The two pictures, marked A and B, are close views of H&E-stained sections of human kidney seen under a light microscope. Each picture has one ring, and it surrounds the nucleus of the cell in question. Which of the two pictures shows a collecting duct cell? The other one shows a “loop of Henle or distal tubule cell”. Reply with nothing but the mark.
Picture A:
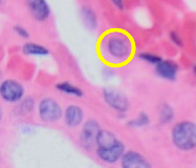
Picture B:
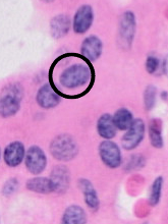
B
